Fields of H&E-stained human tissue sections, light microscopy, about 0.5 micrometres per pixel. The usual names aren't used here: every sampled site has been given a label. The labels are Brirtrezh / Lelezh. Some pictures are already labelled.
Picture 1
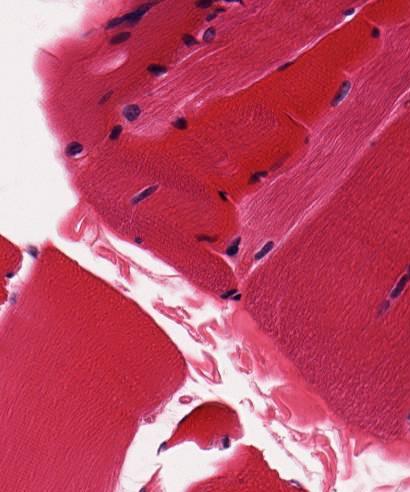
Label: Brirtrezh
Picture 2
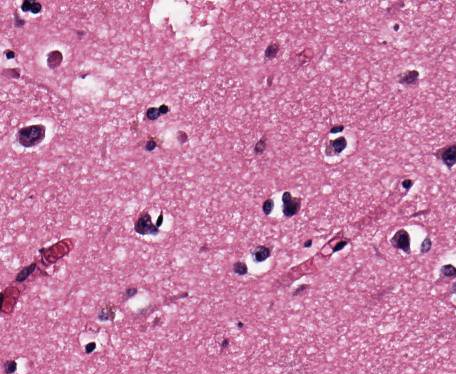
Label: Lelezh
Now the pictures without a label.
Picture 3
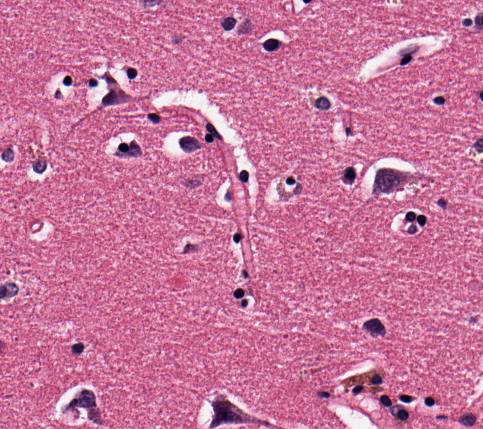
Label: Lelezh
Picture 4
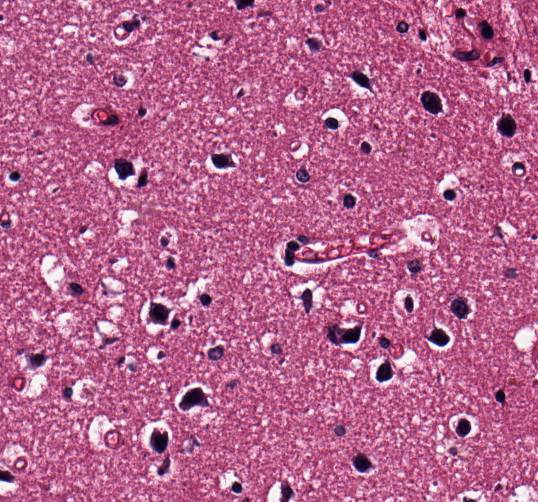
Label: Lelezh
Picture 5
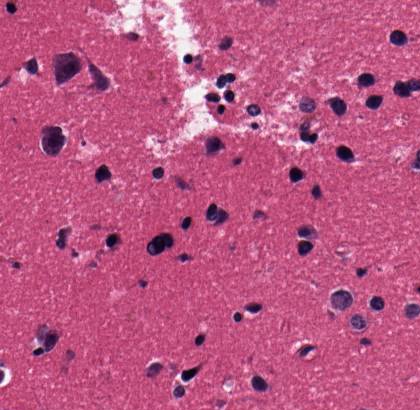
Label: Lelezh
